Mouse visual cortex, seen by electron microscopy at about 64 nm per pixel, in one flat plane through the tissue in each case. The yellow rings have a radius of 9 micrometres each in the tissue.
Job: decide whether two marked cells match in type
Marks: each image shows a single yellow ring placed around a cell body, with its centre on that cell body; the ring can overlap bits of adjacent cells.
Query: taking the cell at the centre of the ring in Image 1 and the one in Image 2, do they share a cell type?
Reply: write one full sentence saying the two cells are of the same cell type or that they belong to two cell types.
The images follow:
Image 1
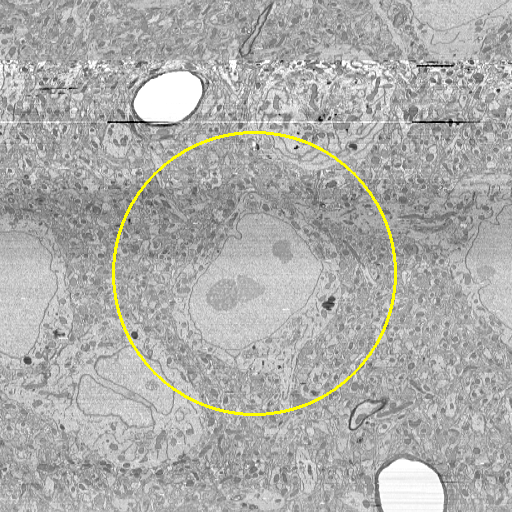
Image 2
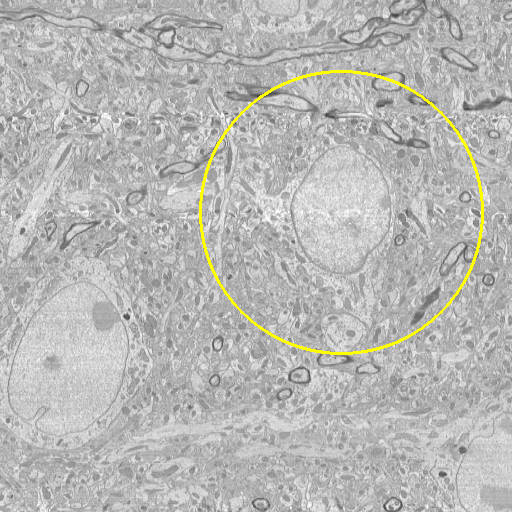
The cells at the ring centres in Image 1 and Image 2 belong to two cell types.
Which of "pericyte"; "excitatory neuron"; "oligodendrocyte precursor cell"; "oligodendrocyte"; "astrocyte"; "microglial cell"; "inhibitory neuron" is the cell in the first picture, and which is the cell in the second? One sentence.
The two differ: the first cell is an excitatory neuron and the second is an astrocyte.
